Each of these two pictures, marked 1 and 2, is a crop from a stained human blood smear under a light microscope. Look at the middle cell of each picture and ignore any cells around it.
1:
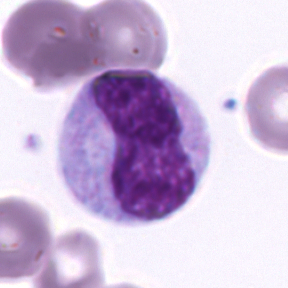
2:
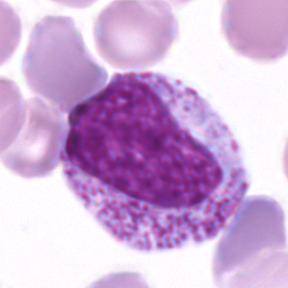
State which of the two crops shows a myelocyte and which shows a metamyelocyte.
1: metamyelocyte
2: myelocyte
